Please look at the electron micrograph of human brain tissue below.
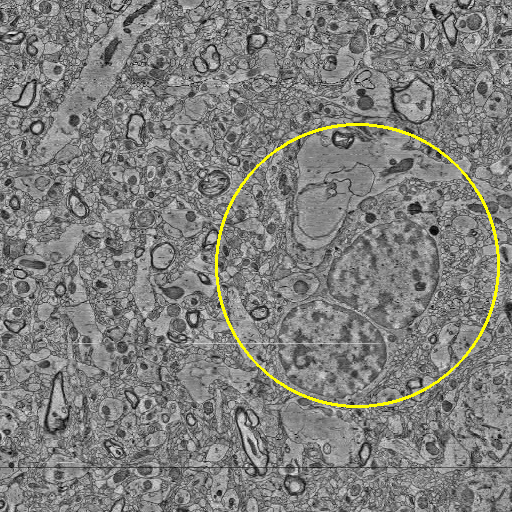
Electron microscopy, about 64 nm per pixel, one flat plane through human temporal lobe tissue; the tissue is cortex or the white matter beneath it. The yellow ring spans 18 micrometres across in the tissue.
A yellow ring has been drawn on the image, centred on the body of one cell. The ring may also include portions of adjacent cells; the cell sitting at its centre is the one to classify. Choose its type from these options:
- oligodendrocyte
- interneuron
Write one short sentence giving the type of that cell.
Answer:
The cell in the middle of the ring is an oligodendrocyte.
